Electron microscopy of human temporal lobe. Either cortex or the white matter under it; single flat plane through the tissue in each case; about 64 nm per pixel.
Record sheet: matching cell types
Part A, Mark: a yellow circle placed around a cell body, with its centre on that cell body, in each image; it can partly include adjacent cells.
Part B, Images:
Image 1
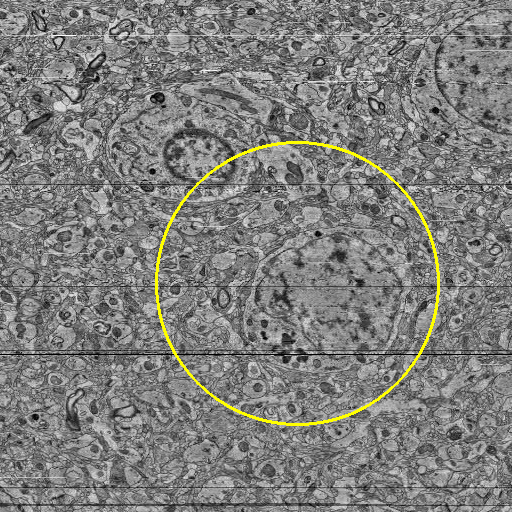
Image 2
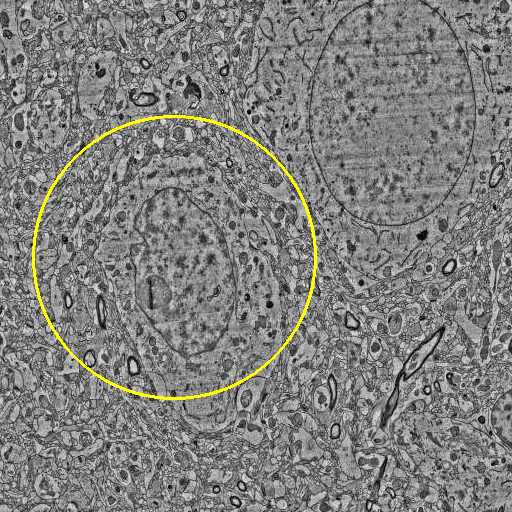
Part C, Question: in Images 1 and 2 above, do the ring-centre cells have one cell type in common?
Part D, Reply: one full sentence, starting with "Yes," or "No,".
Yes, the ring-centre cells of Image 1 and Image 2 are both of a single cell type.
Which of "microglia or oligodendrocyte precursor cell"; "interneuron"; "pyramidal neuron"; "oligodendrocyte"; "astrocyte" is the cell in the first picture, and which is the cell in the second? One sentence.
Each of the two pictures has an interneuron at the ring centre.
